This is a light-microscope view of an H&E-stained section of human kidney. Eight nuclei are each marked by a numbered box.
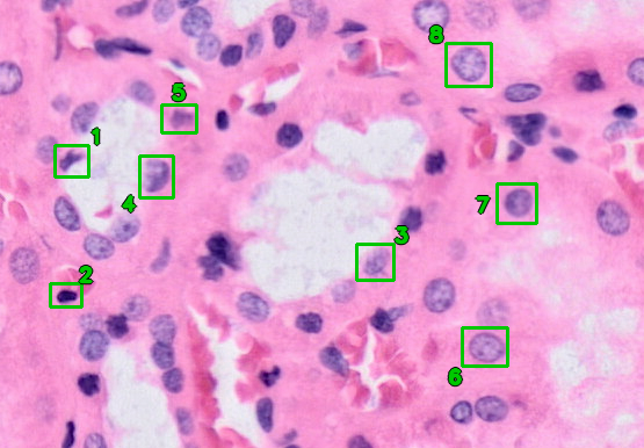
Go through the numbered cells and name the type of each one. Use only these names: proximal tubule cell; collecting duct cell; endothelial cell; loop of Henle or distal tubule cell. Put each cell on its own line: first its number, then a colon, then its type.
1: loop of Henle or distal tubule cell
2: endothelial cell
3: loop of Henle or distal tubule cell
4: loop of Henle or distal tubule cell
5: loop of Henle or distal tubule cell
6: proximal tubule cell
7: proximal tubule cell
8: proximal tubule cell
